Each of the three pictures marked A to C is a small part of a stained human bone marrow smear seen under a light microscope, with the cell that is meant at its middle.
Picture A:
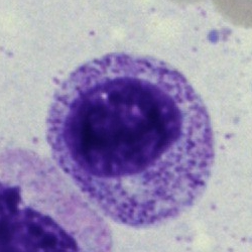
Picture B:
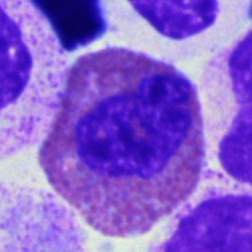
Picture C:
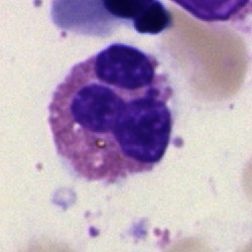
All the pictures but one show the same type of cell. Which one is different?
A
